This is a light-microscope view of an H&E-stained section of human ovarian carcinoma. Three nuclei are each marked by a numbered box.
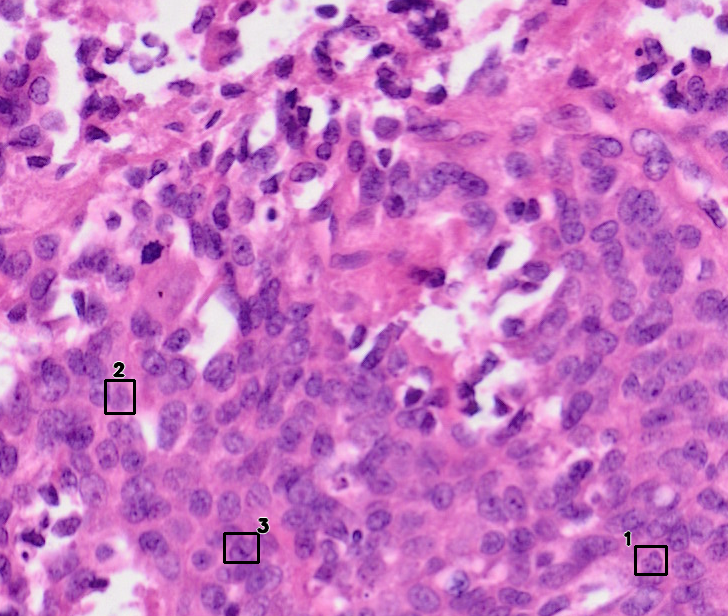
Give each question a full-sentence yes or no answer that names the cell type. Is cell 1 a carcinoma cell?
No, in terms of cell type, cell 1 is a macrophage or monocyte, not a carcinoma cell.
